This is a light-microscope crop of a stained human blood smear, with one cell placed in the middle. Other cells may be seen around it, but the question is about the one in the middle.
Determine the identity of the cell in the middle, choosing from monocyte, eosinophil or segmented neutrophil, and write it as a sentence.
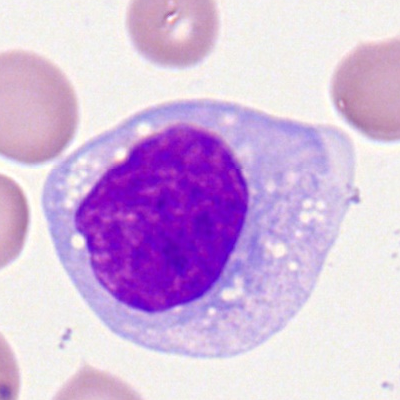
Regarding the central cell, it is a monocyte.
